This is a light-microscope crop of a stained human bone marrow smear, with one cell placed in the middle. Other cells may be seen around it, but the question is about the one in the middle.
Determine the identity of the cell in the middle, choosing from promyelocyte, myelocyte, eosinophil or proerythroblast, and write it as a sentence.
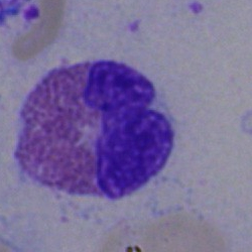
This crop has an eosinophil at its centre.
